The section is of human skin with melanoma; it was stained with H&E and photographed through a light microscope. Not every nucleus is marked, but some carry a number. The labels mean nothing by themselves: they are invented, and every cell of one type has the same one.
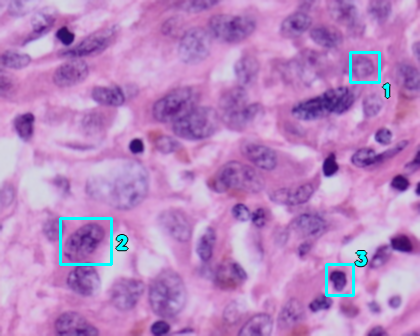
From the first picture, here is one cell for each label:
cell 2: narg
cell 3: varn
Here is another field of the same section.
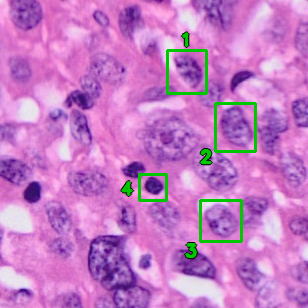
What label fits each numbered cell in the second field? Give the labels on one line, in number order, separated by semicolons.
narg; narg; narg; varn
